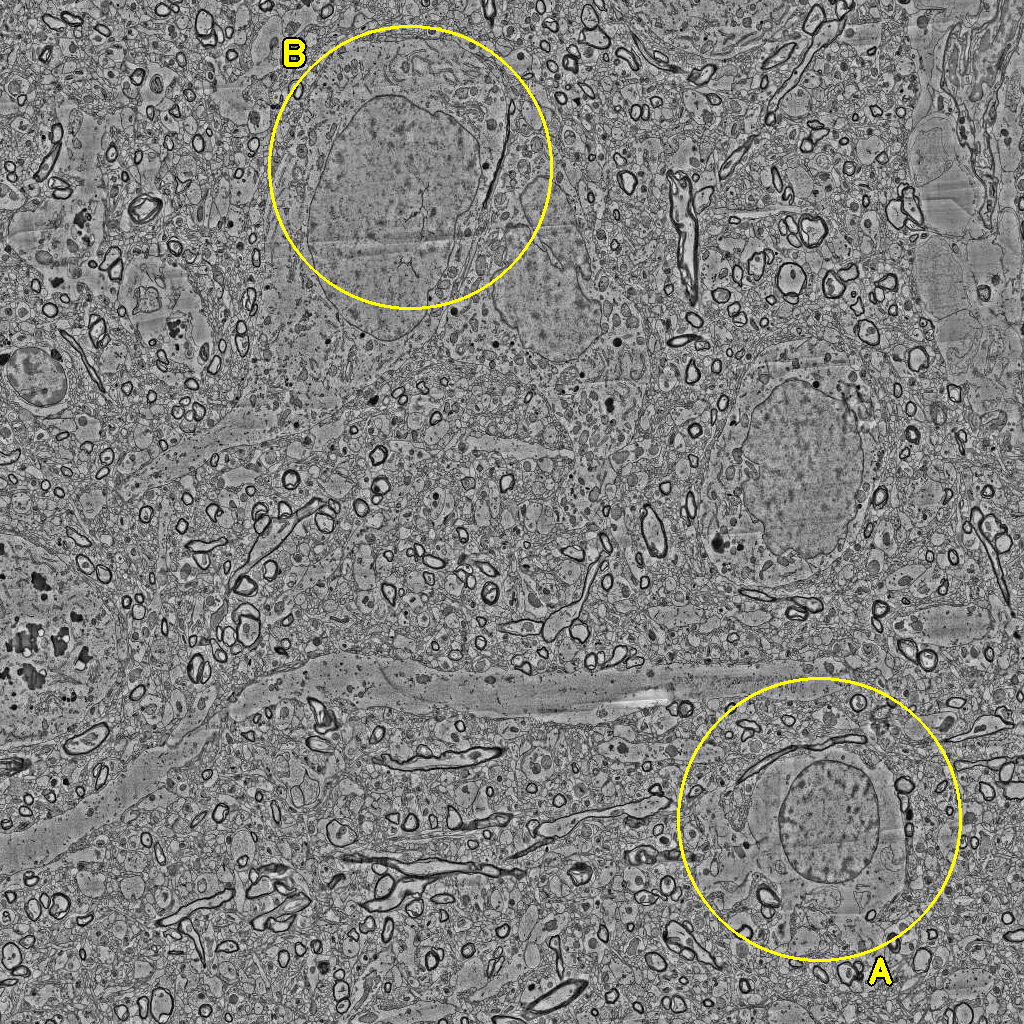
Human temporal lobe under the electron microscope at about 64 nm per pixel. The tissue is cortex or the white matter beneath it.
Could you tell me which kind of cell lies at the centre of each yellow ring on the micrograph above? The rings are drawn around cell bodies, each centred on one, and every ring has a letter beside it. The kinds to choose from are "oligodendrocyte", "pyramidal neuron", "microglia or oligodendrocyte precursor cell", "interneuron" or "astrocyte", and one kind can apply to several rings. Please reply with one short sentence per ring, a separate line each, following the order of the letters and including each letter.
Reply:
Ring A circles an astrocyte.
Ring B circles a pyramidal neuron.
